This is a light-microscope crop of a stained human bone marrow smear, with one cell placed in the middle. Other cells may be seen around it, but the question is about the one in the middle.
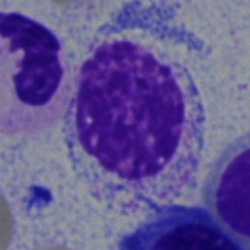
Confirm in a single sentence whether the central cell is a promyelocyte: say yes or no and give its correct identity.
No, the middle of the crop holds a myelocyte, not a promyelocyte.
